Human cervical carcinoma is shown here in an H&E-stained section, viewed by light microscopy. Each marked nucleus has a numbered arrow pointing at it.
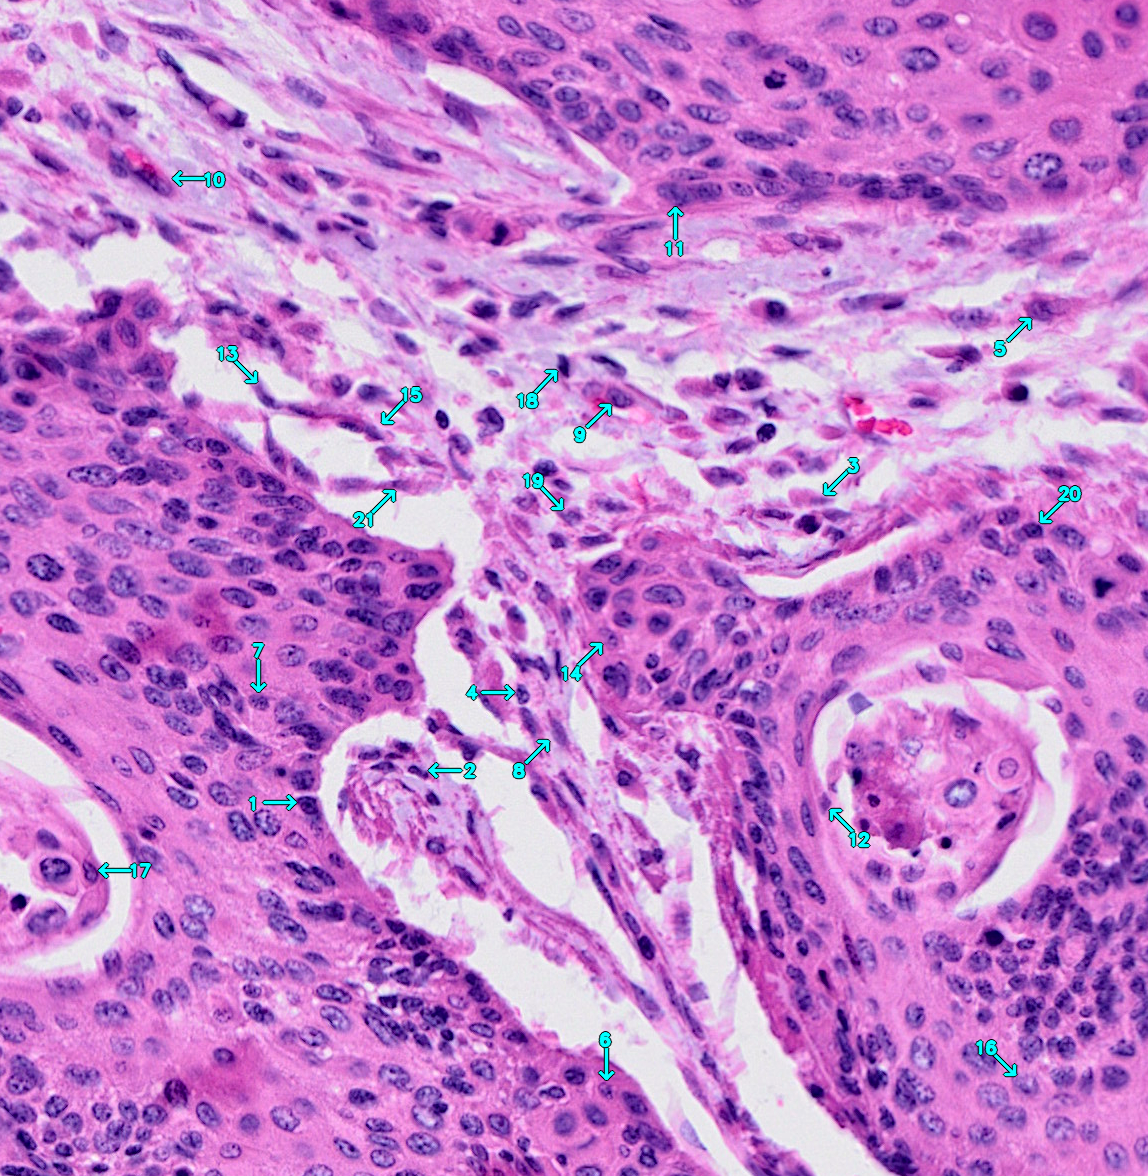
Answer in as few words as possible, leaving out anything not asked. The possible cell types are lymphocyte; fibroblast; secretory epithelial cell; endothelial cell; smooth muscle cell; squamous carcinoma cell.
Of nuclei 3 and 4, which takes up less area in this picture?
3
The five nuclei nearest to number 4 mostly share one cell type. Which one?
fibroblast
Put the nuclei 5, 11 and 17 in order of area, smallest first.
17, 5, 11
